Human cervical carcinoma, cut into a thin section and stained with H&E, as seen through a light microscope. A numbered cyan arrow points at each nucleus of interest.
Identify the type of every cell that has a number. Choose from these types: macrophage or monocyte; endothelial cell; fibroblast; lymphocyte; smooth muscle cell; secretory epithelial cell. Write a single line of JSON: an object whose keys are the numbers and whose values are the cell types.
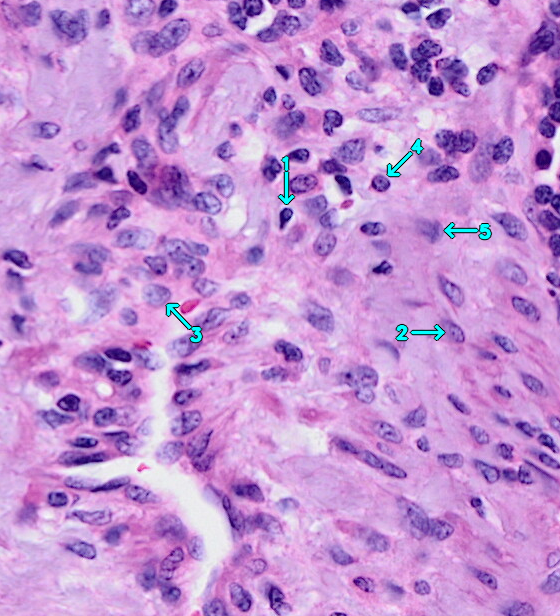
{"1": "lymphocyte", "2": "smooth muscle cell", "3": "endothelial cell", "4": "lymphocyte", "5": "fibroblast"}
